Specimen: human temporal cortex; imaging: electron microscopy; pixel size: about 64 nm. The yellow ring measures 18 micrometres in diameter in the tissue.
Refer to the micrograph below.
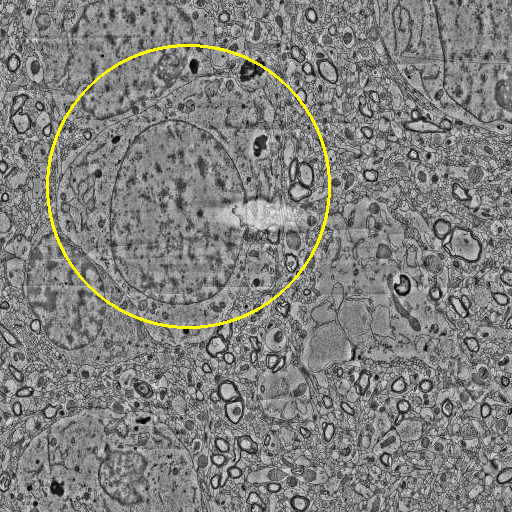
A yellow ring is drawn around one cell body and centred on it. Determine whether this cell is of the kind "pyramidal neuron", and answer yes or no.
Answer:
yes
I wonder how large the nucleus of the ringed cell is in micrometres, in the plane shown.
The ringed cell's nucleus is about 12 micrometres long and 9 micrometres wide in this plane.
